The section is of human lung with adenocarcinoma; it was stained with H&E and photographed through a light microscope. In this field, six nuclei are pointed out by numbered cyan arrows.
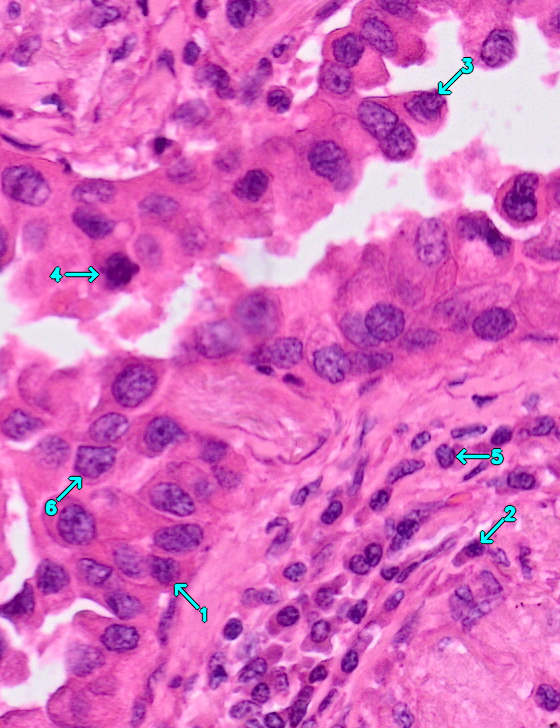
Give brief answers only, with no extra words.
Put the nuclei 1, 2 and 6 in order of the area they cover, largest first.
6, 1, 2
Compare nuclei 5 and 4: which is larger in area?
4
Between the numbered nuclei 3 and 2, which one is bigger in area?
3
